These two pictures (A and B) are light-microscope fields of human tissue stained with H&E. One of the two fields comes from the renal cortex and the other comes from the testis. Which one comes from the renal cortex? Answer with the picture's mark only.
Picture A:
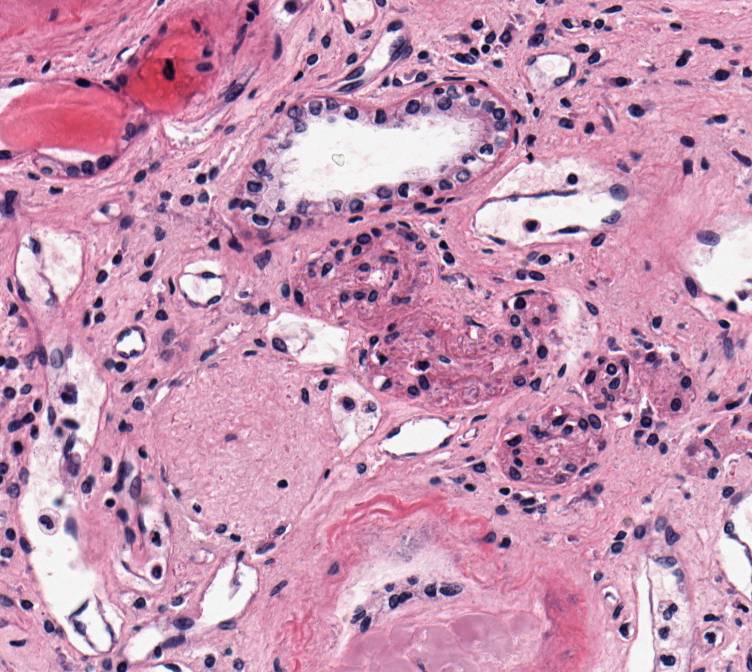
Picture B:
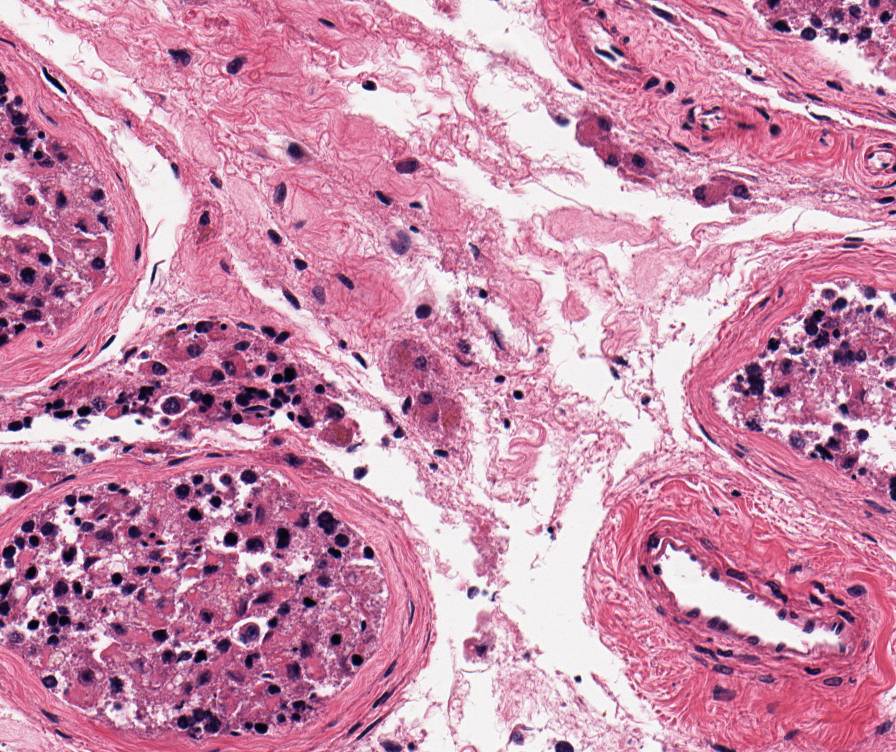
A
